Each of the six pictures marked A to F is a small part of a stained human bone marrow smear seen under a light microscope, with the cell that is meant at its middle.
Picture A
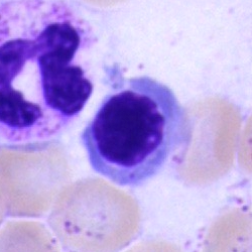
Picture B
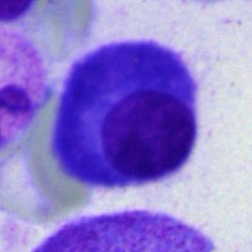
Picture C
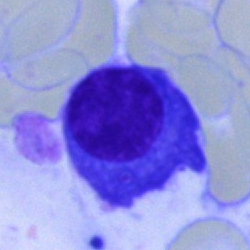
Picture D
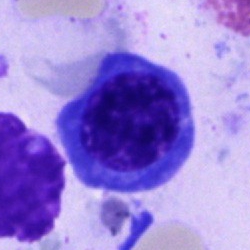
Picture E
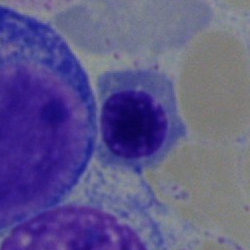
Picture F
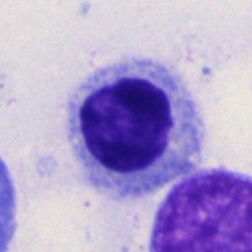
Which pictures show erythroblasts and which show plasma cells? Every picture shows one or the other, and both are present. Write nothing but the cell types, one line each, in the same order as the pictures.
erythroblast
plasma cell
plasma cell
erythroblast
erythroblast
erythroblast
